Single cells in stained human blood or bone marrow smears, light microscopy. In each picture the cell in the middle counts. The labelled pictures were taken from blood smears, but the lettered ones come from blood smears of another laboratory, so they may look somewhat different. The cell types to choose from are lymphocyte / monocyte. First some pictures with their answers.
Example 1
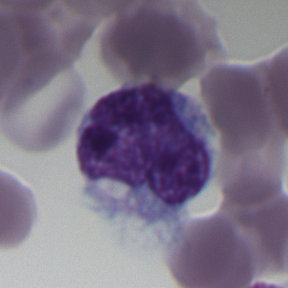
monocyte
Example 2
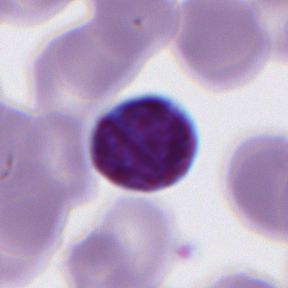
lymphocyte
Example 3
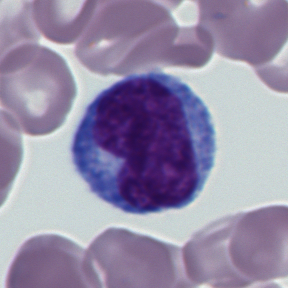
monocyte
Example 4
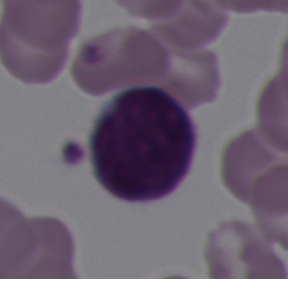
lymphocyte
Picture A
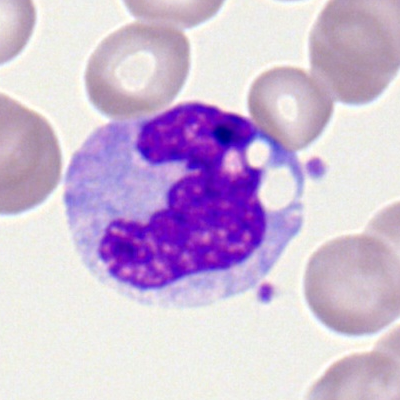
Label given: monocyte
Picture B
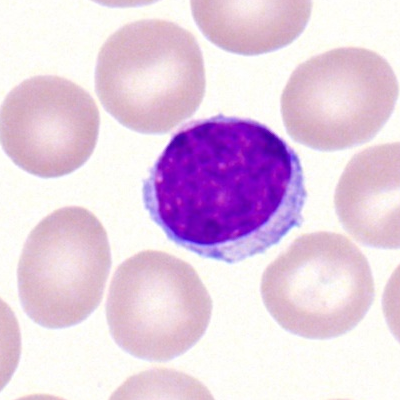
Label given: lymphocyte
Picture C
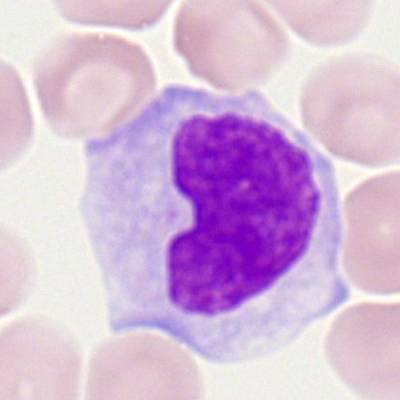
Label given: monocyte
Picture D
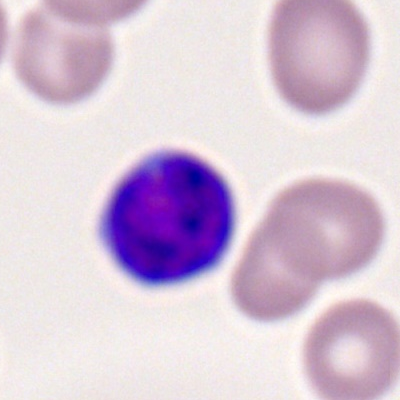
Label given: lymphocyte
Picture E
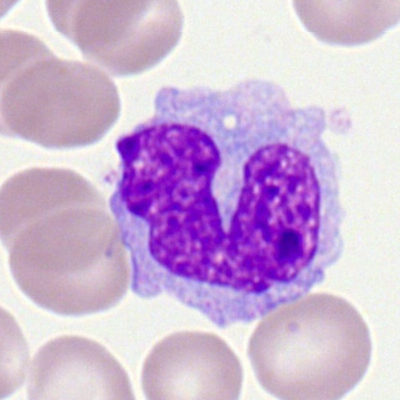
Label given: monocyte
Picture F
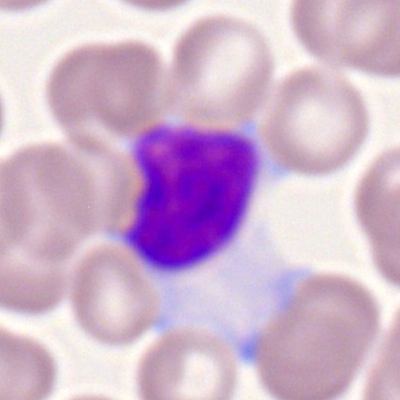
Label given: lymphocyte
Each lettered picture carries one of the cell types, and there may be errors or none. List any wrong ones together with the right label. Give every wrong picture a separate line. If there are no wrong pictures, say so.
None of the labels needs changing.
